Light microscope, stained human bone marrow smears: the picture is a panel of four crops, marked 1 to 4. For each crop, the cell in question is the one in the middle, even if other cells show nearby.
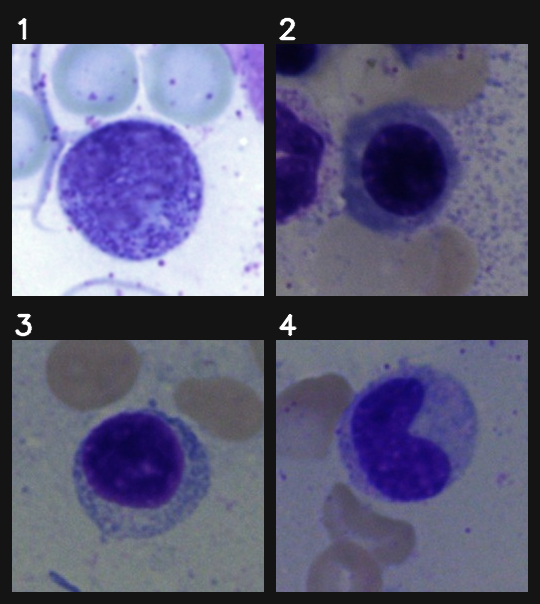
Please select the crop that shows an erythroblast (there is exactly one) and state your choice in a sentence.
The cell identified as an erythroblast is the one in crop 2.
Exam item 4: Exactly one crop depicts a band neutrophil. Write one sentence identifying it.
Crop 4 is the one to choose: it shows a band neutrophil.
